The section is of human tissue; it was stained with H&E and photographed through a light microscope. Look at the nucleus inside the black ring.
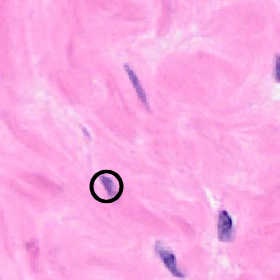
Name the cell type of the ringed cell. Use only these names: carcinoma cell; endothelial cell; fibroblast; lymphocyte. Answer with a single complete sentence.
For the purposes of cell typing, the ringed cell is categorized as a fibroblast.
